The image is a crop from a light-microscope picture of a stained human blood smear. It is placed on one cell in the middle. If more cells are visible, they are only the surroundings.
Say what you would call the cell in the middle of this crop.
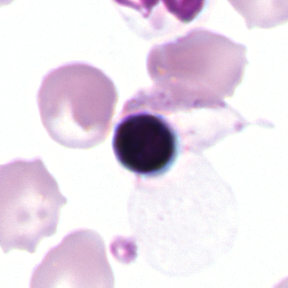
erythroblast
